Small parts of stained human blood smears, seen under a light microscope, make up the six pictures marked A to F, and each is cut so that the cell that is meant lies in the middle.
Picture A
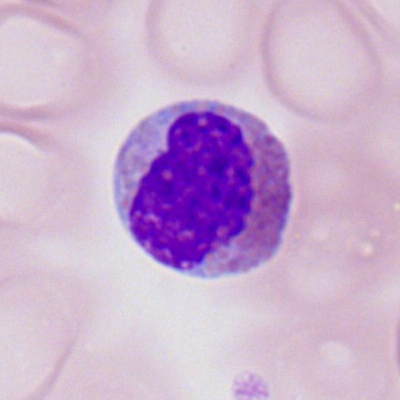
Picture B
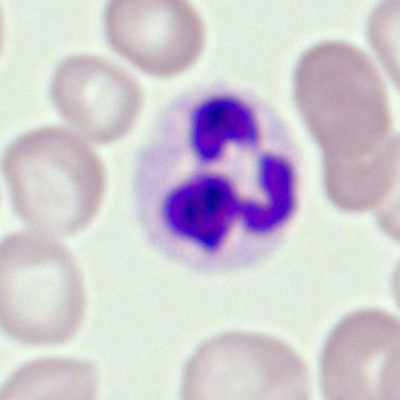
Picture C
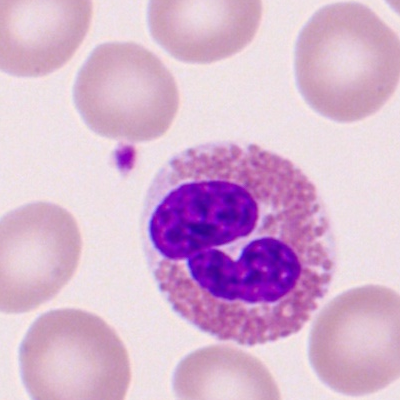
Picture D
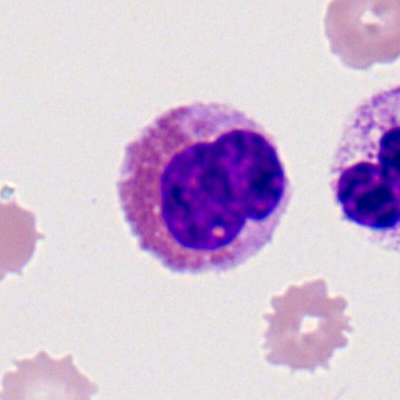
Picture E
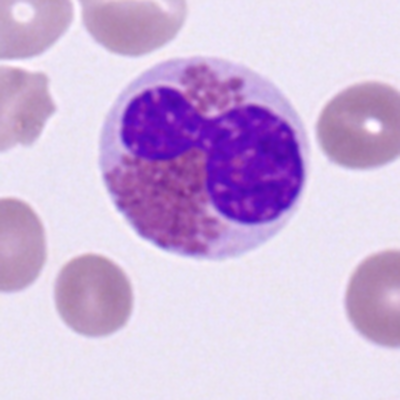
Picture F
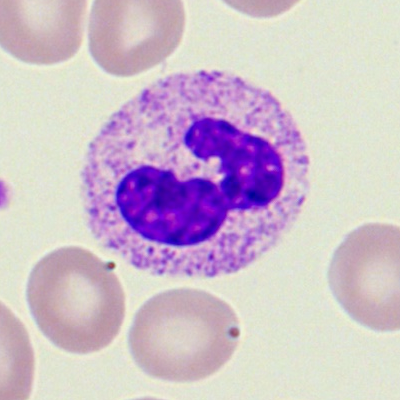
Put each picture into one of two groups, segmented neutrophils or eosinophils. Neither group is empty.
A: eosinophil
B: segmented neutrophil
C: eosinophil
D: eosinophil
E: eosinophil
F: segmented neutrophil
